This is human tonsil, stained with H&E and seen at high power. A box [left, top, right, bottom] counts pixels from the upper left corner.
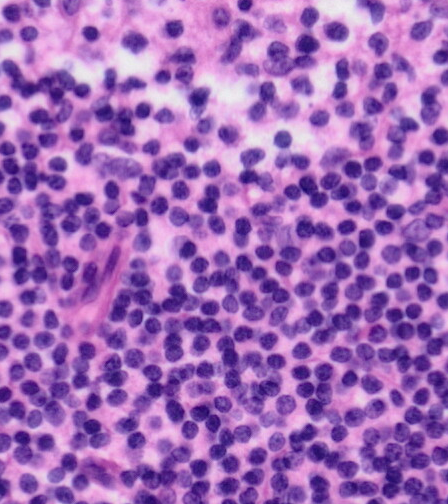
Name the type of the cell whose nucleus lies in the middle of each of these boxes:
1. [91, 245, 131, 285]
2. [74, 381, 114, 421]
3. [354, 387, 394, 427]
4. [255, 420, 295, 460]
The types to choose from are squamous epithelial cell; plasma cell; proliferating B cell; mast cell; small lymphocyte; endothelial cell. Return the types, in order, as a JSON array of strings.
["endothelial cell", "small lymphocyte", "small lymphocyte", "small lymphocyte"]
